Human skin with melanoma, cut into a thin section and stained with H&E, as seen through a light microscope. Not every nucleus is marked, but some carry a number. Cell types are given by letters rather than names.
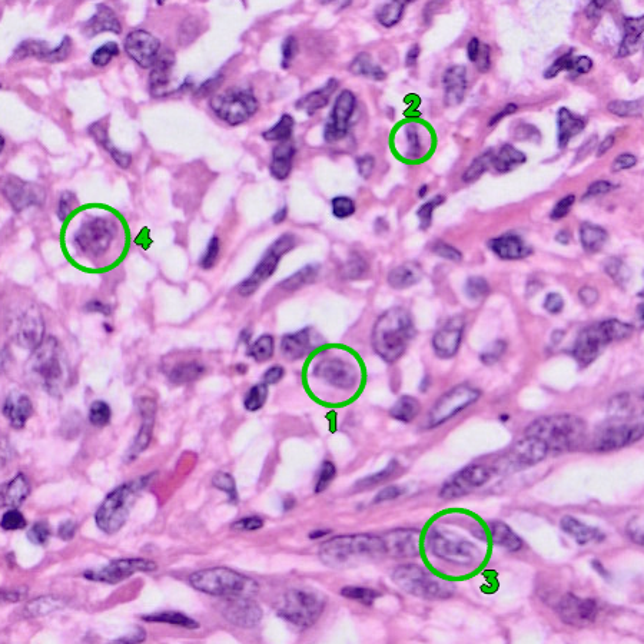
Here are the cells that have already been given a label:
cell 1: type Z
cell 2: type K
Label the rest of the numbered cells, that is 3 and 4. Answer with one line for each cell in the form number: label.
3: type Z
4: type Z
